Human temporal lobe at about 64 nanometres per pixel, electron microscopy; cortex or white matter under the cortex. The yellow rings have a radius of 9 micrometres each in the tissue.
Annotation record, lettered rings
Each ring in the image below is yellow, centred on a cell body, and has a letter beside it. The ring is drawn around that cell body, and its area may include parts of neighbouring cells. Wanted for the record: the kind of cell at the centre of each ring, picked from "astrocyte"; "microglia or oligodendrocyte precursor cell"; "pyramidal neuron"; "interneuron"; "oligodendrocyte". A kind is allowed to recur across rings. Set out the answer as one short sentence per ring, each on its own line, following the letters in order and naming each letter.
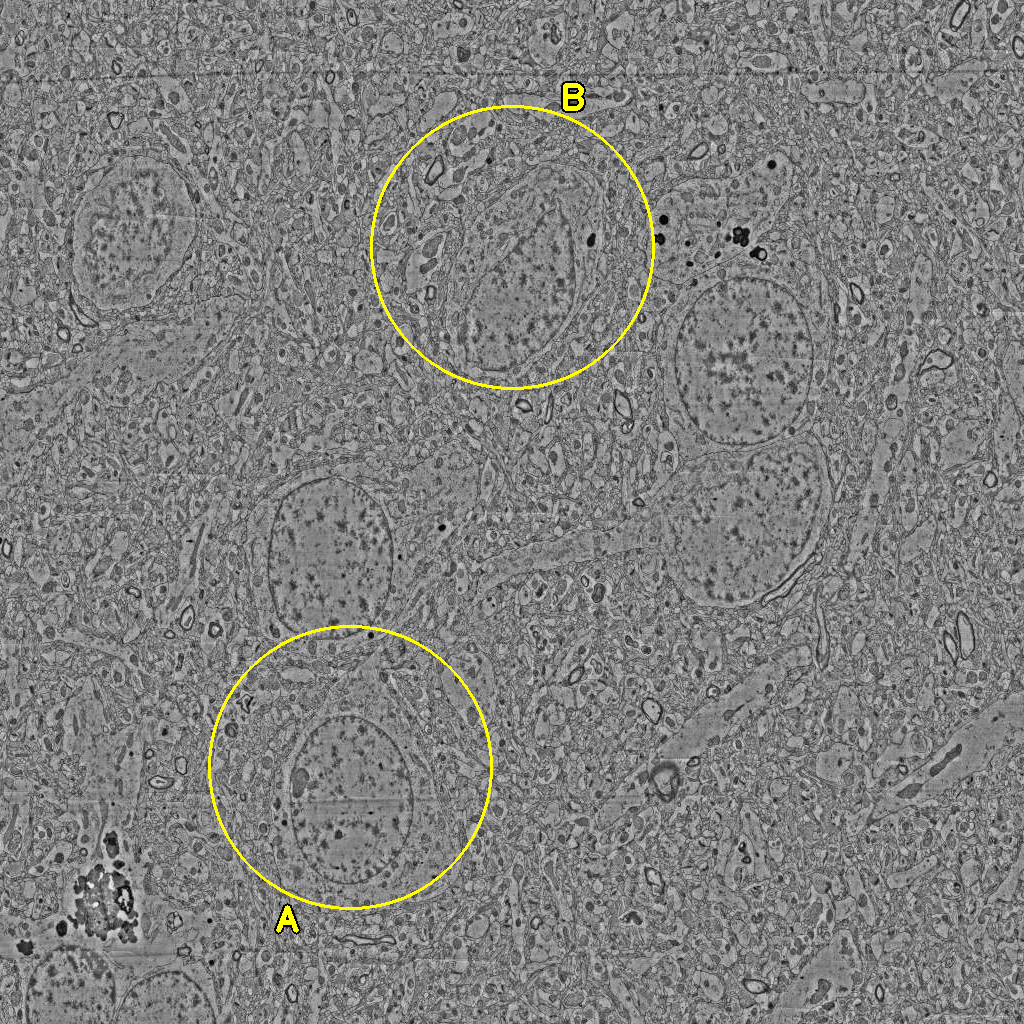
Ring A was drawn on a pyramidal neuron.
Ring B was drawn on an interneuron.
